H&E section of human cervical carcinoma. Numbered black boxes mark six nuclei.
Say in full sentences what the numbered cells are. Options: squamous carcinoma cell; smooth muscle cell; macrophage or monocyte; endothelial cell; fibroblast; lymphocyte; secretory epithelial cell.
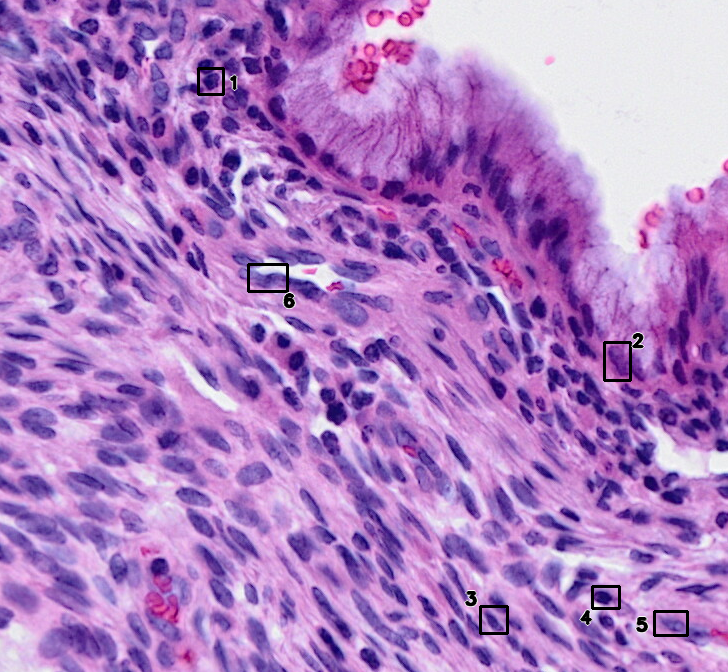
Cells 1 and 4 are lymphocytes. Cell 2 is a secretory epithelial cell. Cell 3 is a fibroblast. Cells 5 and 6 are endothelial cells.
